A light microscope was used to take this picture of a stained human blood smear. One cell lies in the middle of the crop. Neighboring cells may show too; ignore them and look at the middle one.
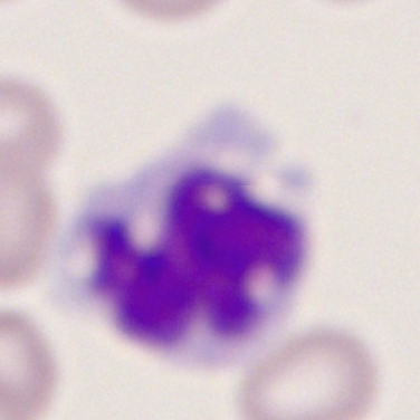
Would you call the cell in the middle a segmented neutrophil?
no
